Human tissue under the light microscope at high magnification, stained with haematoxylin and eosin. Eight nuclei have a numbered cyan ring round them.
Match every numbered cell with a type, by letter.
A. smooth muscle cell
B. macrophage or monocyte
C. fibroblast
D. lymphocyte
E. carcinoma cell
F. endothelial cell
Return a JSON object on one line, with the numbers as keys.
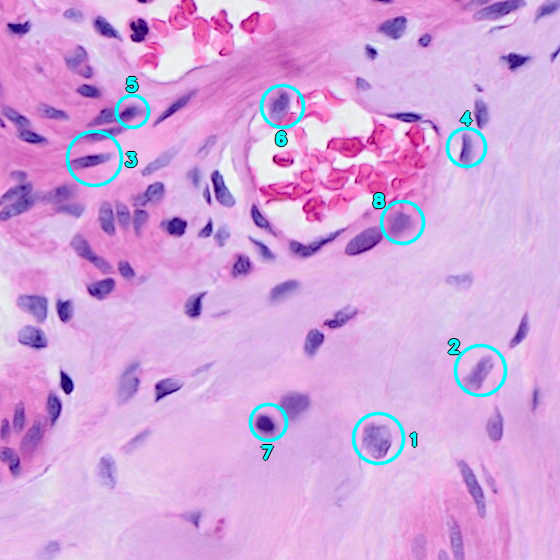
{"1": "C", "2": "C", "3": "A", "4": "C", "5": "A", "6": "F", "7": "D", "8": "F"}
